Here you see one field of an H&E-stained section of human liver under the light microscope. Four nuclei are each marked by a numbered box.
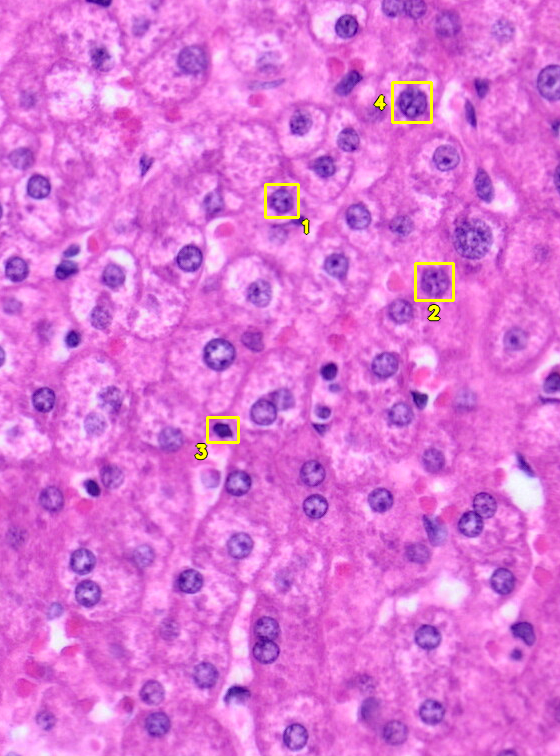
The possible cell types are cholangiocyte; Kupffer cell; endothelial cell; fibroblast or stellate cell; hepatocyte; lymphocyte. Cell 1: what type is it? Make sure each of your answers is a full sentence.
At number 1, the marked cell is a hepatocyte.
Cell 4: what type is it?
The cell referenced by the number 4 is a hepatocyte in this field.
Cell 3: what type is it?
Cell 3 in the field of view is a fibroblast or stellate cell.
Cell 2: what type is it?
The one numbered 2 among the marked cells is a hepatocyte.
